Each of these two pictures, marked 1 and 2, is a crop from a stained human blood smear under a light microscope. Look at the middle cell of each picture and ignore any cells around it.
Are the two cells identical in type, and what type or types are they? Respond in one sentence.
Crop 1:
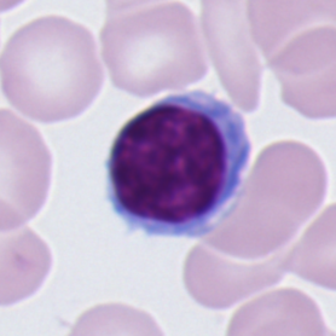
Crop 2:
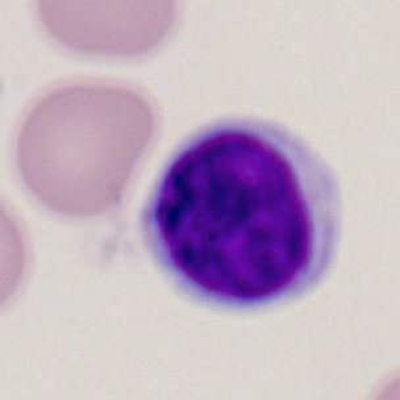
Yes, the two central cells, one per crop, are lymphocytes.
